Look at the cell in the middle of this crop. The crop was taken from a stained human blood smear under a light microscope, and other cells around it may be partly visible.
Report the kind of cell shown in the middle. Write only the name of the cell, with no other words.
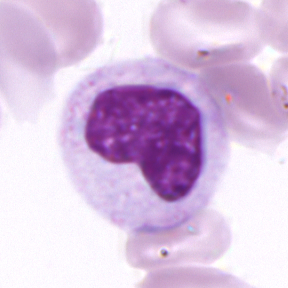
metamyelocyte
